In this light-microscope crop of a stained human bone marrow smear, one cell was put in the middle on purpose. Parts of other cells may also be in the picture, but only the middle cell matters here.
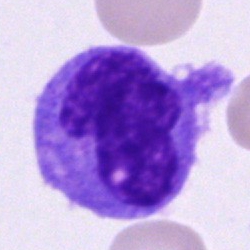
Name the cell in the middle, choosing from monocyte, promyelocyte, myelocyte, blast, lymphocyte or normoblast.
monocyte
